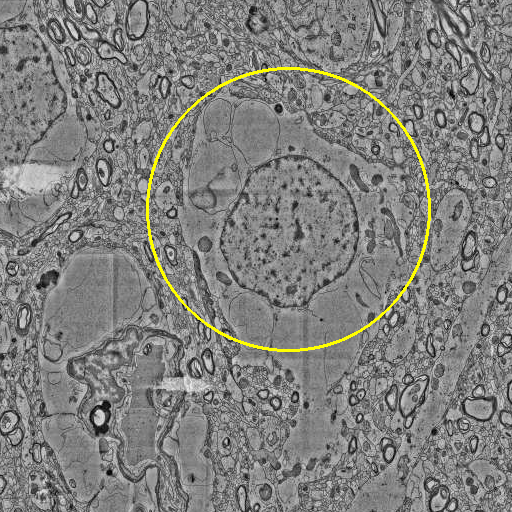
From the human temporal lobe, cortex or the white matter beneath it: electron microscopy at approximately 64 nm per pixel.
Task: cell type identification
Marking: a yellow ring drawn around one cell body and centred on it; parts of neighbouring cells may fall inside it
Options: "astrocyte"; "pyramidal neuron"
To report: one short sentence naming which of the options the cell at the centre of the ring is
The cell at the centre of the ring is an astrocyte.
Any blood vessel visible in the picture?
Yes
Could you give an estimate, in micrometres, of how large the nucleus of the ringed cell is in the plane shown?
The nucleus is approximately 9 micrometers across in this plane.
